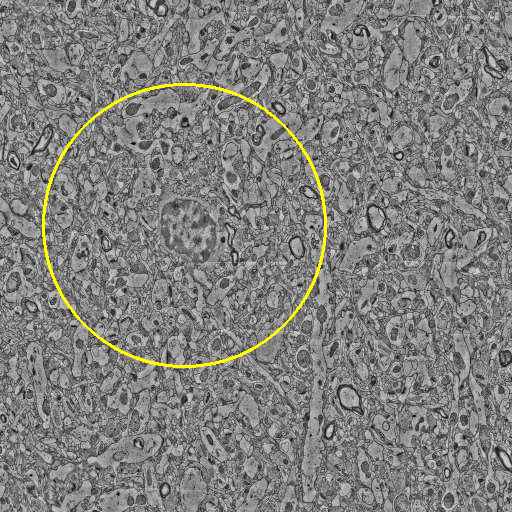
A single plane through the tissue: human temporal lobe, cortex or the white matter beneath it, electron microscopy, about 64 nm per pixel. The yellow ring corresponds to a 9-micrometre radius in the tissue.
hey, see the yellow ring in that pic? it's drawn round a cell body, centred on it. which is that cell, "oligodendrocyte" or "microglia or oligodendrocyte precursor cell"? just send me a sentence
The cell in the ring is an oligodendrocyte.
